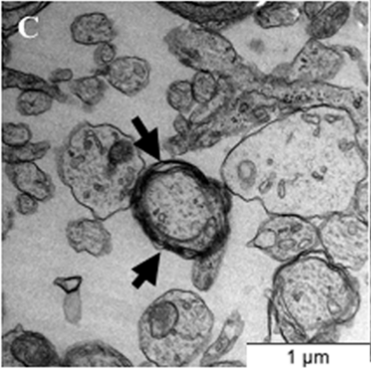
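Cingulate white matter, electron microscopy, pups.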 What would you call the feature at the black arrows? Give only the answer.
Uncompacted myelin sheets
